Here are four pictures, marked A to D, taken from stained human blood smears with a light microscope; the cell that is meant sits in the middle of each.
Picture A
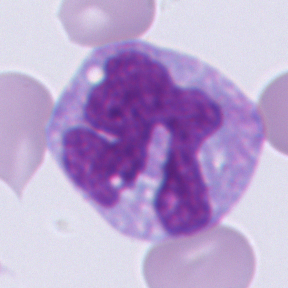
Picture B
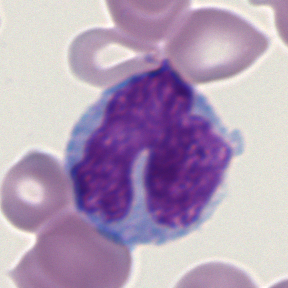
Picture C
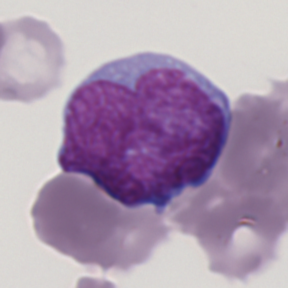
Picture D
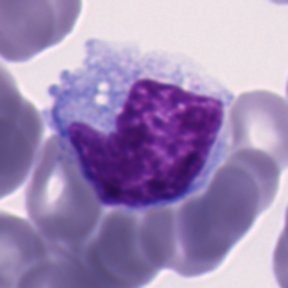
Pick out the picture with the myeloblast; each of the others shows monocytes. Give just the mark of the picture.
C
